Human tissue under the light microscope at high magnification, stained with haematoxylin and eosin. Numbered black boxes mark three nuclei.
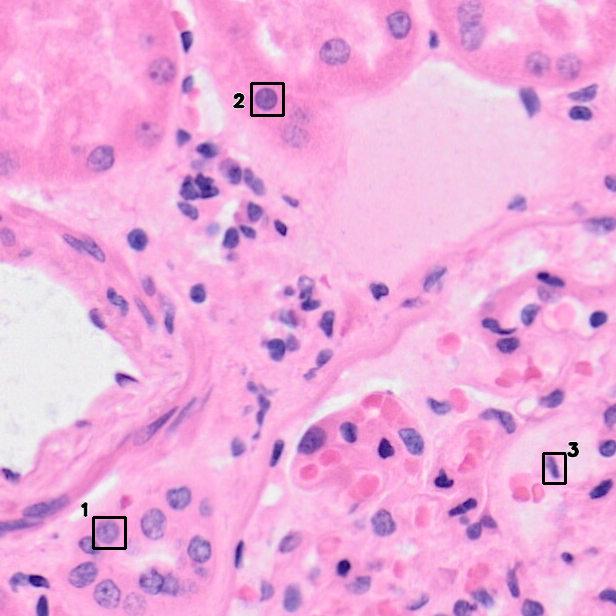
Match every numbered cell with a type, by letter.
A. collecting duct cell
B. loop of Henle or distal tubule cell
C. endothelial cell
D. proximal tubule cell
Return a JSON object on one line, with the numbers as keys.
{"1": "A", "2": "D", "3": "C"}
